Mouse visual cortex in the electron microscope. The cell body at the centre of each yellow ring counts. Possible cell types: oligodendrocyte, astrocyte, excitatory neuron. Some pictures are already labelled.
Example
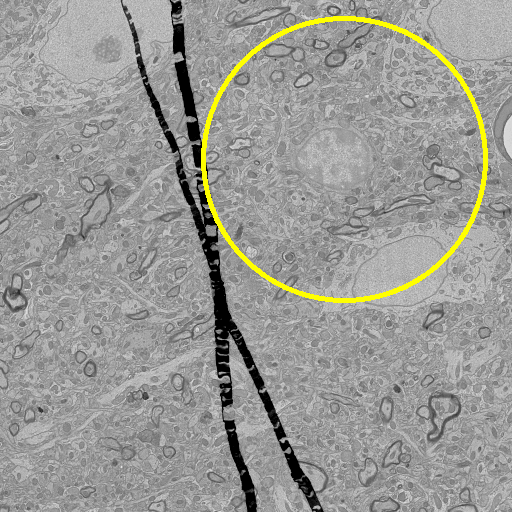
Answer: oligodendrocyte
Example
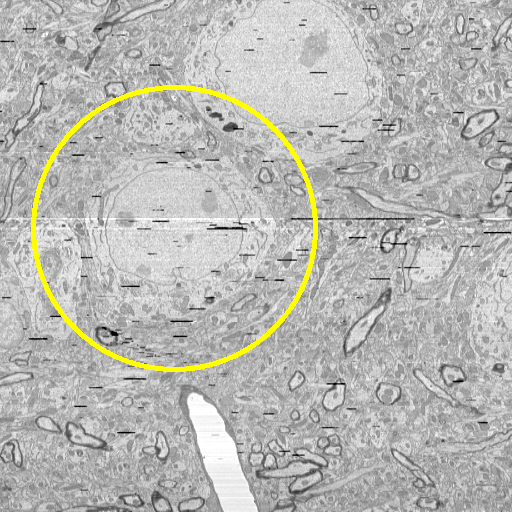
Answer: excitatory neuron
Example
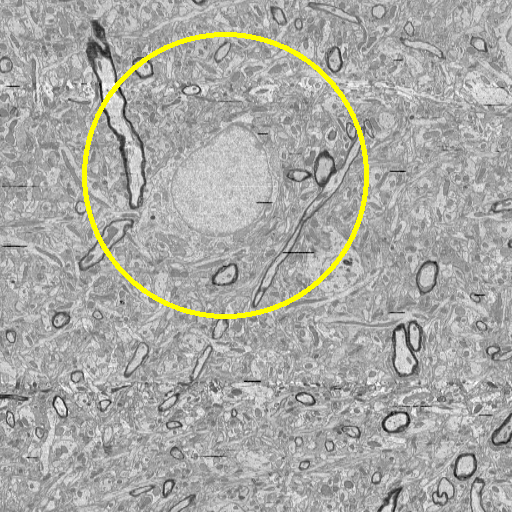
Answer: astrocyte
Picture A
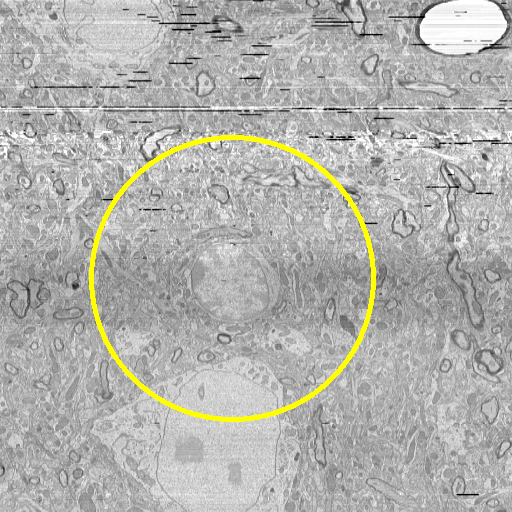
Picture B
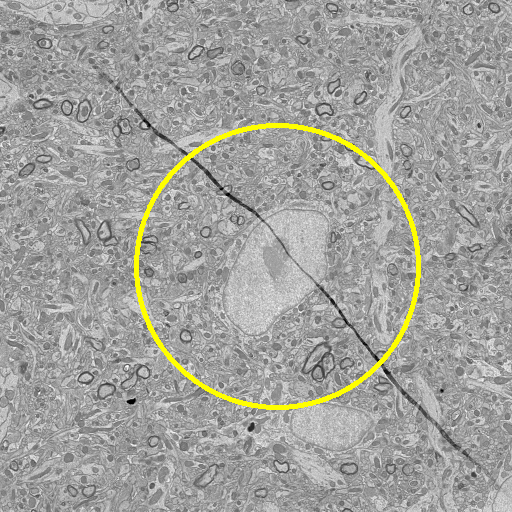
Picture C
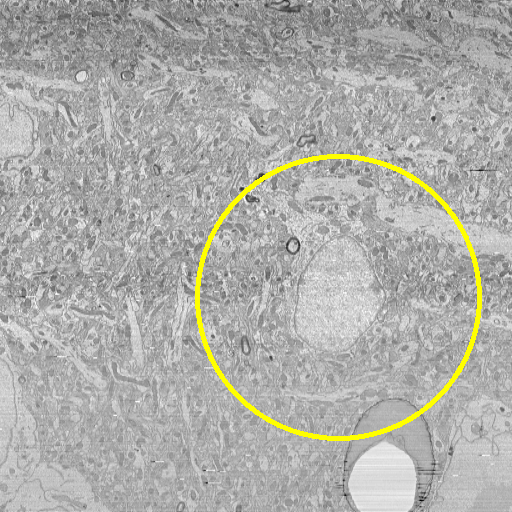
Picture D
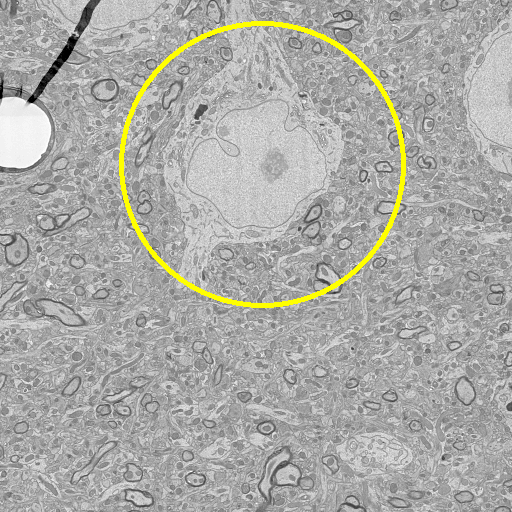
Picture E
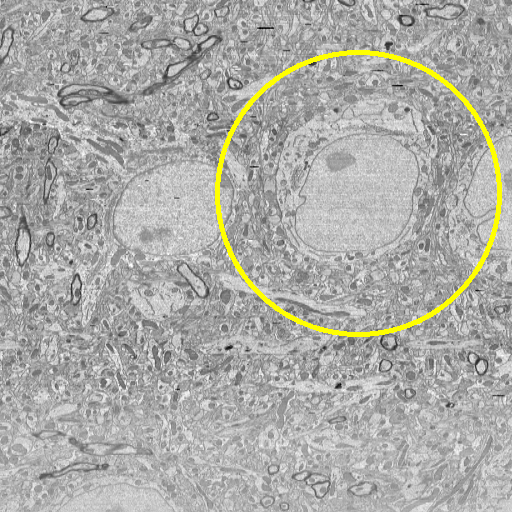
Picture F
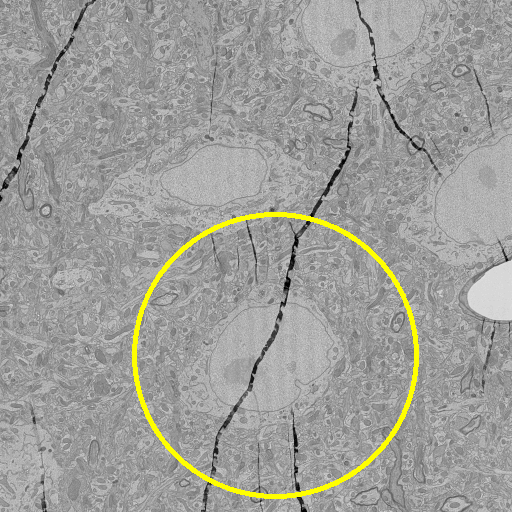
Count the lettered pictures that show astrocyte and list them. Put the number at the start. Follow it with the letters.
2, namely B, C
